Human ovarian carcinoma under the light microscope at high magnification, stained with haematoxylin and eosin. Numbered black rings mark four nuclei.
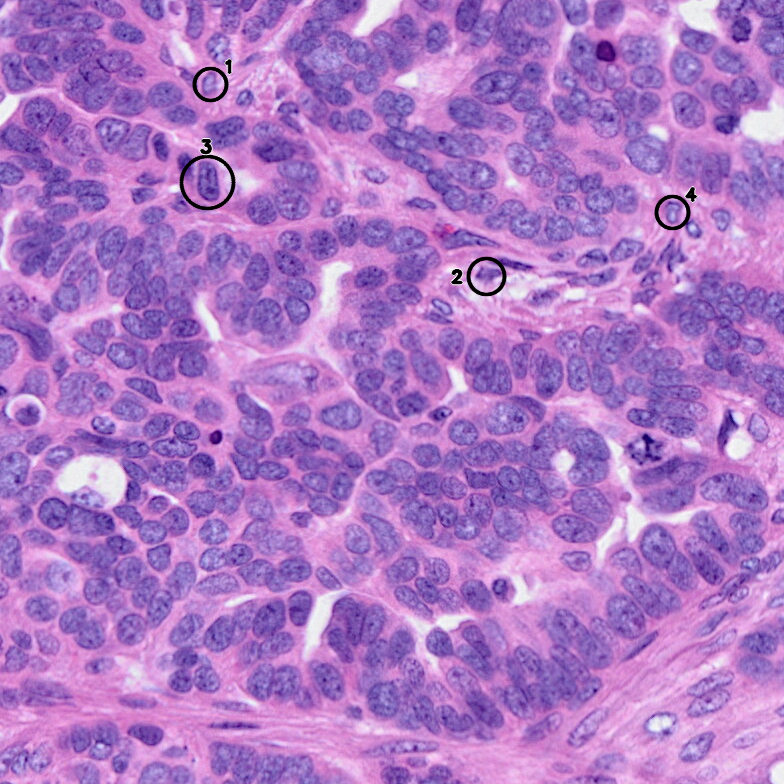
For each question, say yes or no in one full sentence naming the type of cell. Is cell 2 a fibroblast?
Yes, as for number 2, the cell is a fibroblast.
